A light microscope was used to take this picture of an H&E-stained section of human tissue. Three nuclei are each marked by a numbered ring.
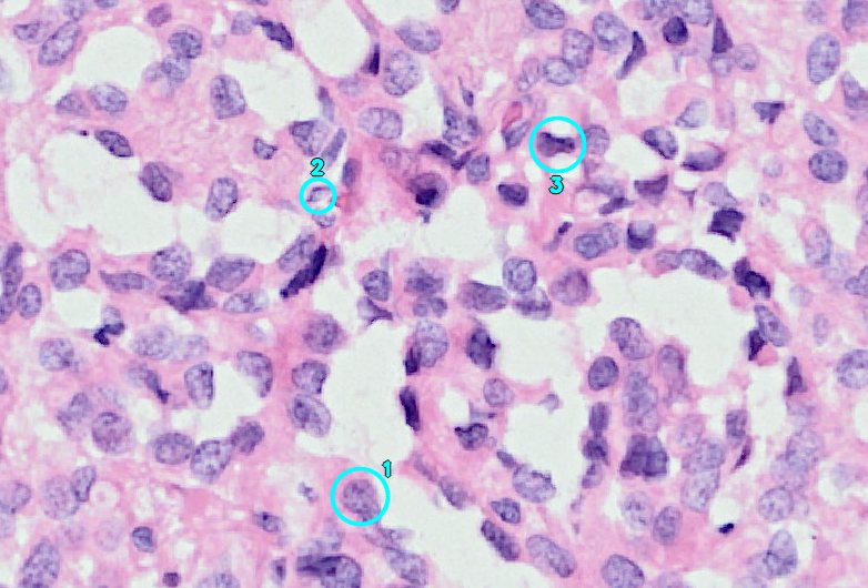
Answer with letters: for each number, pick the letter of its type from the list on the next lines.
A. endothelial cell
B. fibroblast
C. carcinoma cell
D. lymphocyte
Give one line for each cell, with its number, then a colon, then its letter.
1: C
2: A
3: C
